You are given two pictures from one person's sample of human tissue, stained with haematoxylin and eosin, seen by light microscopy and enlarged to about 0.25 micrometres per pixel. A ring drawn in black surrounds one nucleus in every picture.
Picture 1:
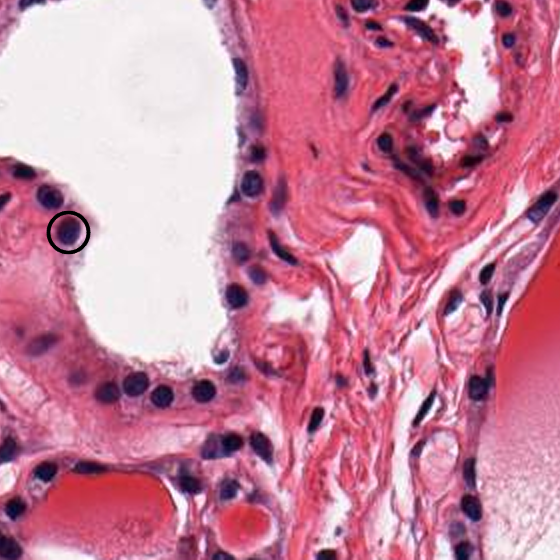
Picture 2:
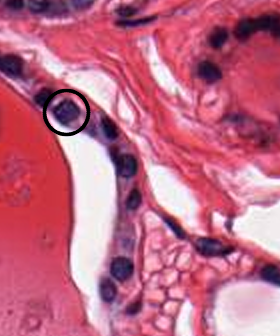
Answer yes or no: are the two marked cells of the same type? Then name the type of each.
Yes, both are thyroid follicular cells.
